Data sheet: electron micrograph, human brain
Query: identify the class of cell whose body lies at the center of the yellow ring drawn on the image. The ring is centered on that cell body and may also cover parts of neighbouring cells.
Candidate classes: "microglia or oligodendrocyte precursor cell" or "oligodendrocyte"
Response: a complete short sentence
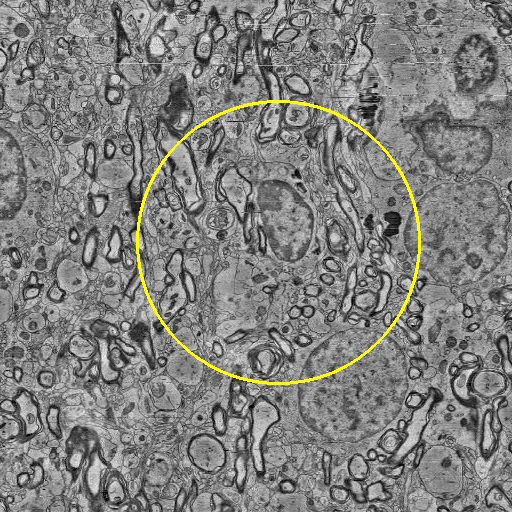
At the center of the ring lies a microglial cell or oligodendrocyte precursor cell.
